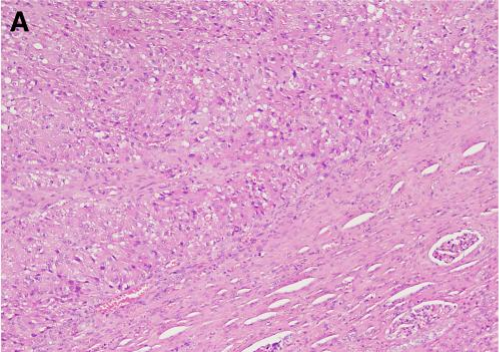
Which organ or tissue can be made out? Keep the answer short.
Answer: Compressed renal parenchyma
